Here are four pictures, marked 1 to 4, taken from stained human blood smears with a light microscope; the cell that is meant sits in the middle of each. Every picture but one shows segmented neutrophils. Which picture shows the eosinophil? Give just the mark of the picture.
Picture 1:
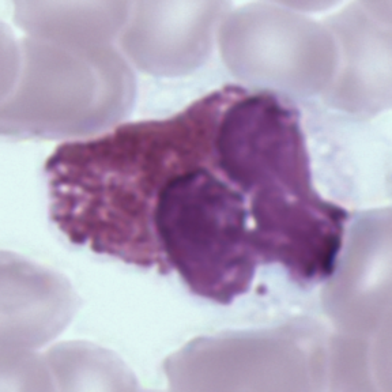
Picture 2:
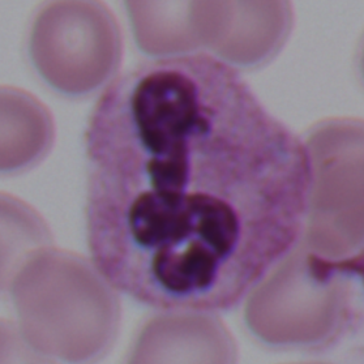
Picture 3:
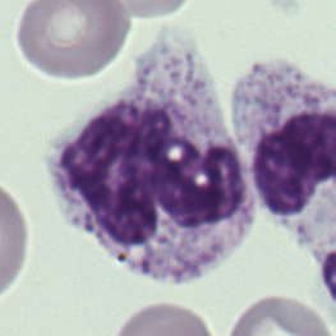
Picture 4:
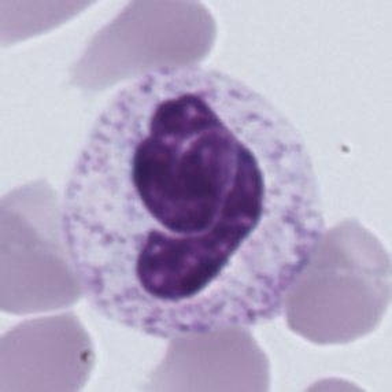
1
